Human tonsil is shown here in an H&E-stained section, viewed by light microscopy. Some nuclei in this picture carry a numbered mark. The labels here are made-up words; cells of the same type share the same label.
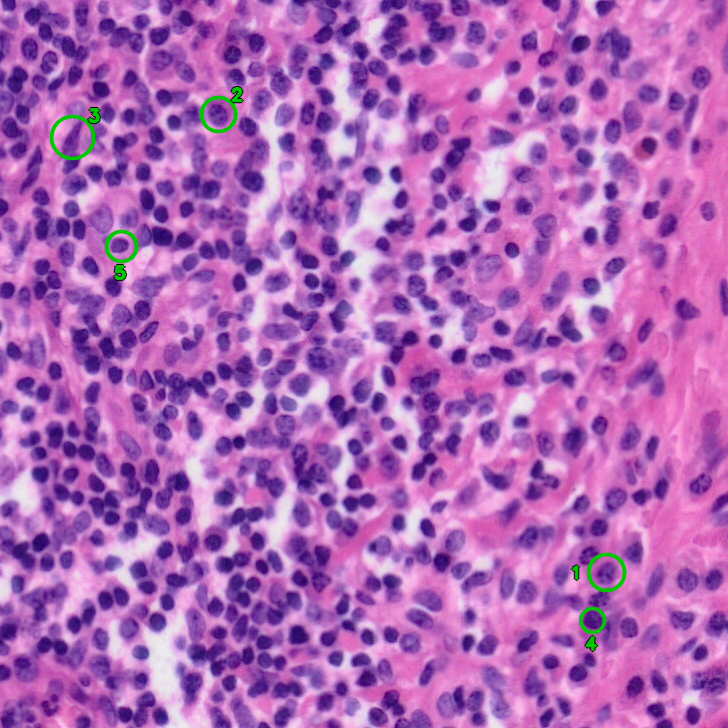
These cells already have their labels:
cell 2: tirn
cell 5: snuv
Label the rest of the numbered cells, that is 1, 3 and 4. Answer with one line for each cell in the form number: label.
1: tirn
3: snuv
4: tirn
